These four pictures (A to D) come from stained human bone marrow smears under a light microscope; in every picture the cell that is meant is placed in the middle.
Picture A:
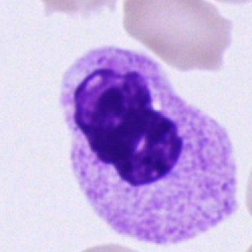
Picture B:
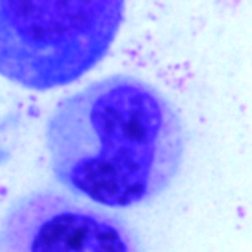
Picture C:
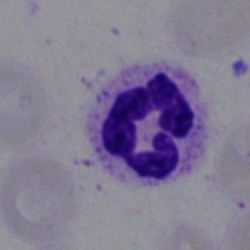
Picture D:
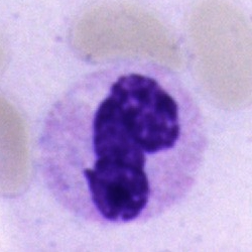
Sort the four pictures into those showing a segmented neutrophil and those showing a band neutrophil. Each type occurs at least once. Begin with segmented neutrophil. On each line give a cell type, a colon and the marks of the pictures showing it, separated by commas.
segmented neutrophil: A, C, D
band neutrophil: B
